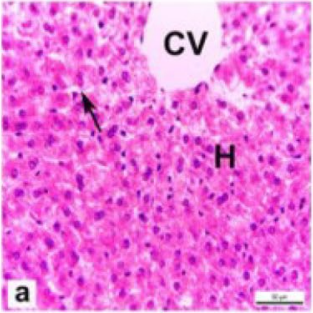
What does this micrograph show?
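This is liver parenchyma in which polygonal hepatocytes are arranged in cords that radiate from a central vein. The hepatocytes have pink eosinophilic cytoplasm and round, dark blue, centrally placed nuclei. Narrow sinusoids run between the cords. The central vein appears as a thin-walled, empty lumen and the architecture around it is regular.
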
